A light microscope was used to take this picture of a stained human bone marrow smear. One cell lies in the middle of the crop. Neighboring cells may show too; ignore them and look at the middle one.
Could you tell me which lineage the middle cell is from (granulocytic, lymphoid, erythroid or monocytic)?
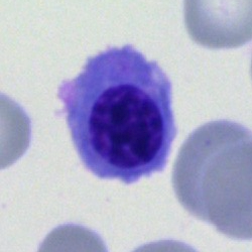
erythroid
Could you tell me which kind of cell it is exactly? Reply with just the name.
erythroblast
